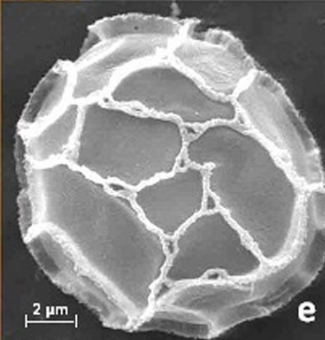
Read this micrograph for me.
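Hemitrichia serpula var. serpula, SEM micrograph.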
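The ridges are thin, with slightly frilled or beaded crests, and stand up clearly at the rim of the spore where they are seen in profile. The floors of the meshes appear smooth and even. The spore lies alone against a dark background.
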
